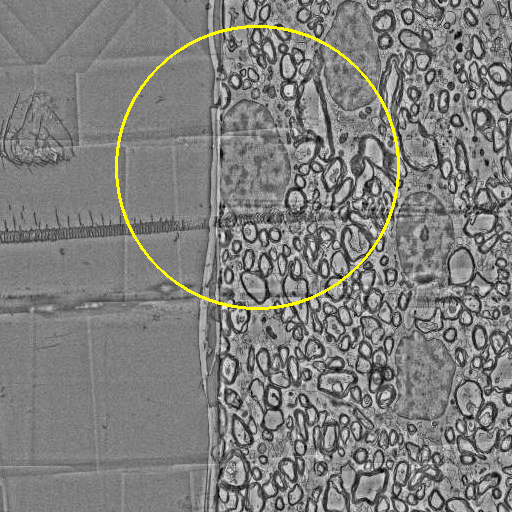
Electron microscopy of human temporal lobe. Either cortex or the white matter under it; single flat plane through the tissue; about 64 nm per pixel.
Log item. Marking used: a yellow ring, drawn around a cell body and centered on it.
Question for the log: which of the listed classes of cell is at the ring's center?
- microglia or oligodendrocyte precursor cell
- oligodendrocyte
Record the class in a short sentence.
At the center of the ring lies an oligodendrocyte.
